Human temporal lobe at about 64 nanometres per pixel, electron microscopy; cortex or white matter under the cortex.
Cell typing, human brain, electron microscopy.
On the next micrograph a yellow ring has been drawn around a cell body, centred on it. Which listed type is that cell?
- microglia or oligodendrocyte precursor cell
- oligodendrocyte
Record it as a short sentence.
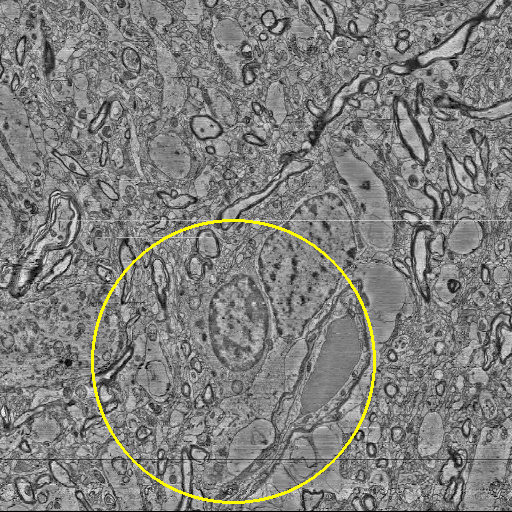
The cell body in the ring's centre belongs to an oligodendrocyte.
